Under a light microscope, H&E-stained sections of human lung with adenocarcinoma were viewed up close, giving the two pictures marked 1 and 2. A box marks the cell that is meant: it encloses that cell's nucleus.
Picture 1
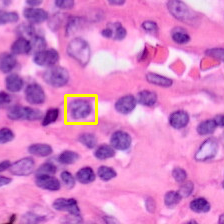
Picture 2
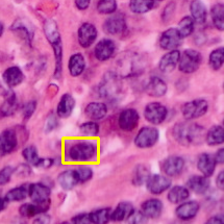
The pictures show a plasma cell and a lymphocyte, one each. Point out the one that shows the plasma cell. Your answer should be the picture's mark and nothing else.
2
